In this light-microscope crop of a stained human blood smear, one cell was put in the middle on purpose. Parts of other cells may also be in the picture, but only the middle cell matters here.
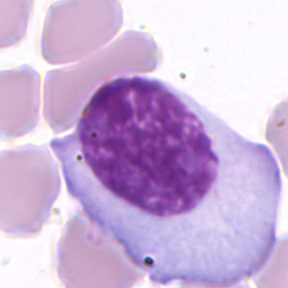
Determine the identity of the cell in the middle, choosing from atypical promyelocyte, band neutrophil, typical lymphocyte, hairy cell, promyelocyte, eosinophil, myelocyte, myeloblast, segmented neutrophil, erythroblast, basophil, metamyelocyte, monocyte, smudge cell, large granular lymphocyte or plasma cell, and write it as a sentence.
The crop shows a plasma cell in its centre.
